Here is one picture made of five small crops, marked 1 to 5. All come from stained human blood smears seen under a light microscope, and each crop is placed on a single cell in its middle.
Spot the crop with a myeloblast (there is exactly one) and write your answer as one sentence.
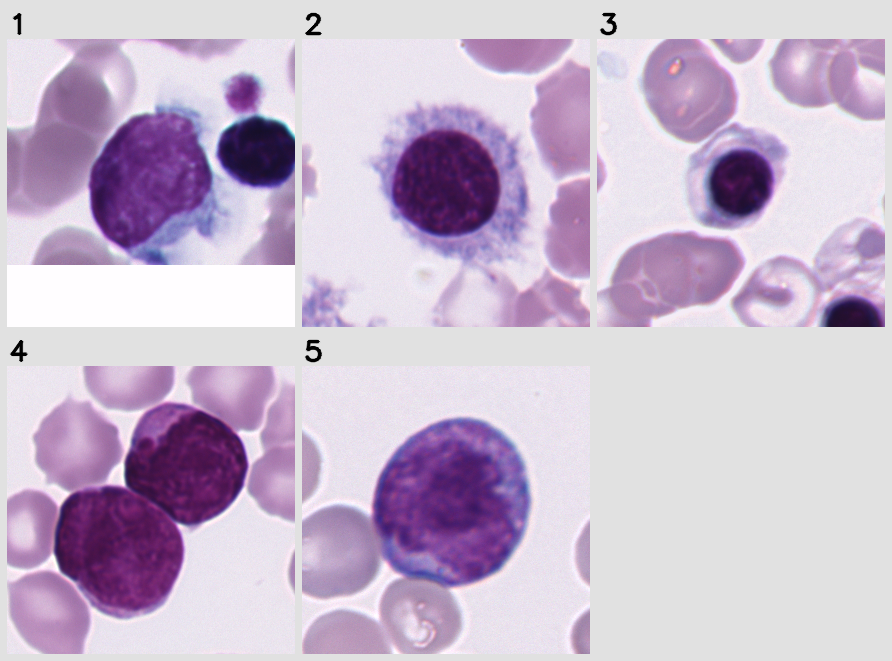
When the crops are compared, crop 4 is the one showing a myeloblast.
